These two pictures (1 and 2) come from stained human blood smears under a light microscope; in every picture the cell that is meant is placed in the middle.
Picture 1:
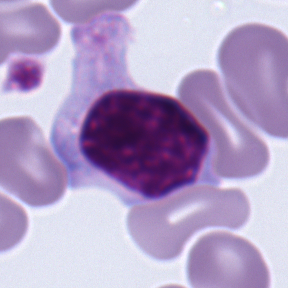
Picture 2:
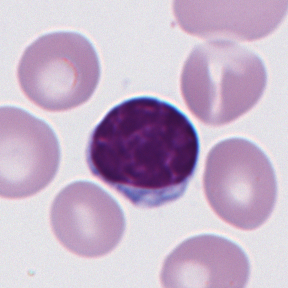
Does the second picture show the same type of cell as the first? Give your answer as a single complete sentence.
Yes, both are typical lymphocytes.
